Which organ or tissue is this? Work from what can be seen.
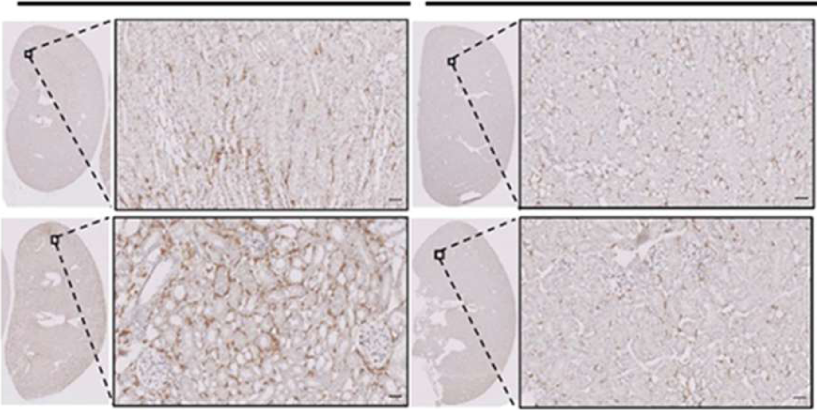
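Whole-section thumbnails show a bean-shaped organ with a central hilum. Magnified fields show densely packed tubule cross-sections.
Answer: kidney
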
